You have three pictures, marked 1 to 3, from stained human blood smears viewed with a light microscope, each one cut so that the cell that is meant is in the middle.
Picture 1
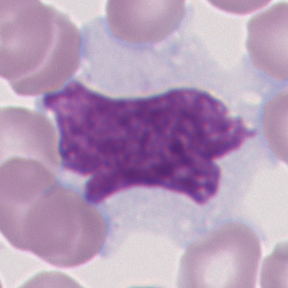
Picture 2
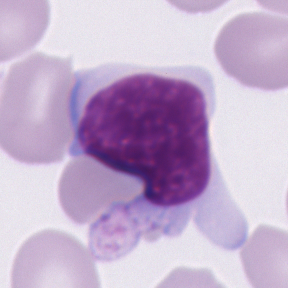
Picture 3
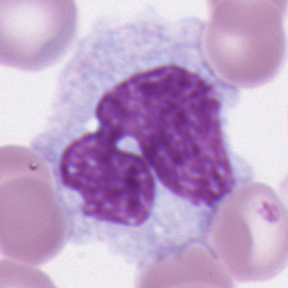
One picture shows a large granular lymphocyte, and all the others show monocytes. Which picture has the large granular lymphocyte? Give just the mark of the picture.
2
